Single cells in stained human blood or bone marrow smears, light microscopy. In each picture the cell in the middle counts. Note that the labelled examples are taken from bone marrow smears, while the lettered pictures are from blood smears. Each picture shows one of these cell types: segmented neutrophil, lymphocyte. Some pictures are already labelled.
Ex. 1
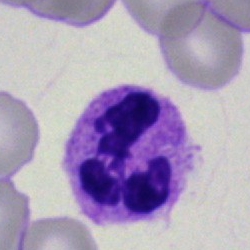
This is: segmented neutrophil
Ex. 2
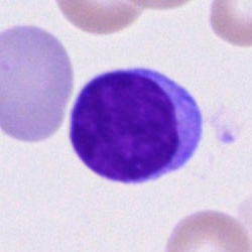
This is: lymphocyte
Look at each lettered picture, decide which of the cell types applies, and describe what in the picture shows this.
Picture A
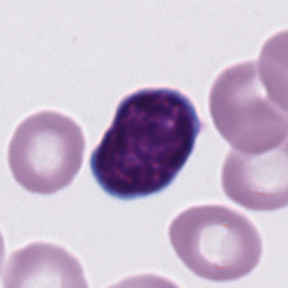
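lymphocyte. Evidence: The cytoplasm forms only a thin rim, seen best along the lower edge of the cell.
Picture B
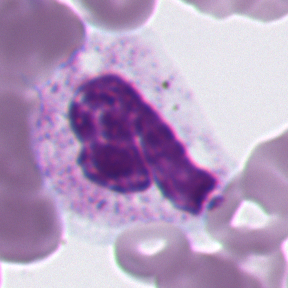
segmented neutrophil. Evidence: The cytoplasm is abundant and pale pinkish-lilac.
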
